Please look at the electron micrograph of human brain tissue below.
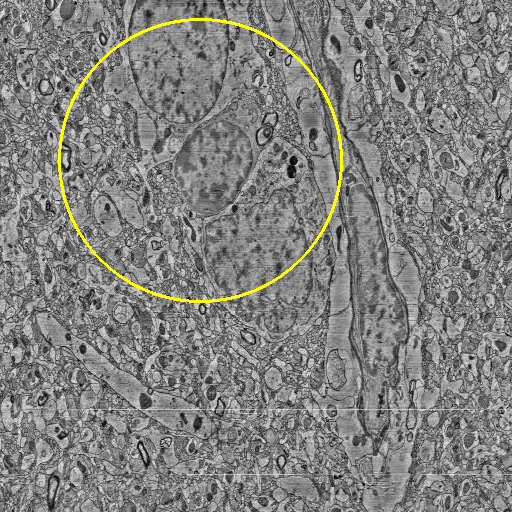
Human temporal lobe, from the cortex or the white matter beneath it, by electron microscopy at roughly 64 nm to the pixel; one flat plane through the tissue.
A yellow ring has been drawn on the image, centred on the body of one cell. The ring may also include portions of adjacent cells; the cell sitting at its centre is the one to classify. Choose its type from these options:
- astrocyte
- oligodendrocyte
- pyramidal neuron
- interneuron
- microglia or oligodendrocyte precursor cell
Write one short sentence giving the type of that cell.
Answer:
The cell in the middle of the ring is an oligodendrocyte.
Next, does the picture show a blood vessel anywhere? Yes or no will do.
Yes, the image shows a blood vessel.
